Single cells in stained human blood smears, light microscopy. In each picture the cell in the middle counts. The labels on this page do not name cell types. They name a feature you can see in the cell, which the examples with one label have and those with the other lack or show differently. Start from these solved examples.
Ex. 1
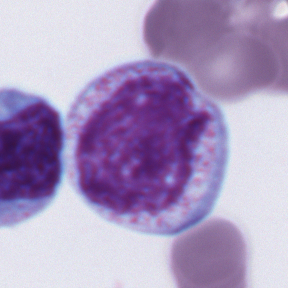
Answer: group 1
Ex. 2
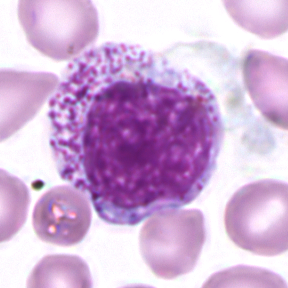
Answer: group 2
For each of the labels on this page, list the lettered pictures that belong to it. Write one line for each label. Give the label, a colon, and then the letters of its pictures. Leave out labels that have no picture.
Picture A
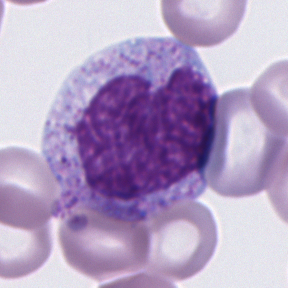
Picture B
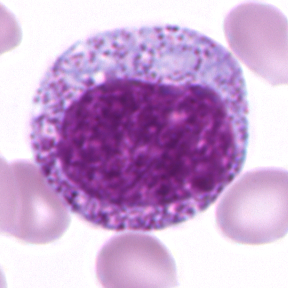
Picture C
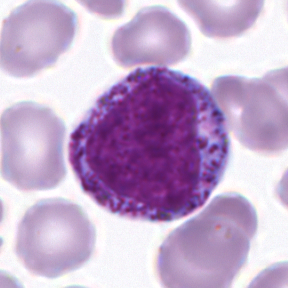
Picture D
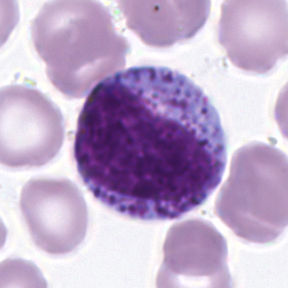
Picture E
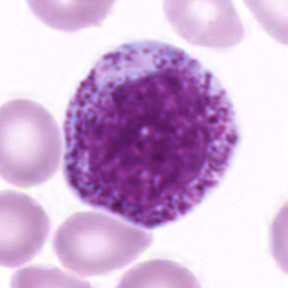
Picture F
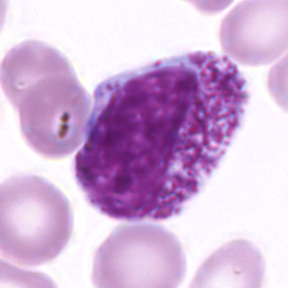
group 1: A
group 2: B, C, D, E, F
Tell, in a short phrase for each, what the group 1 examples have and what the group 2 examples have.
Seen in group 1: fine or small granules; seen in group 2: coarse or large granules.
